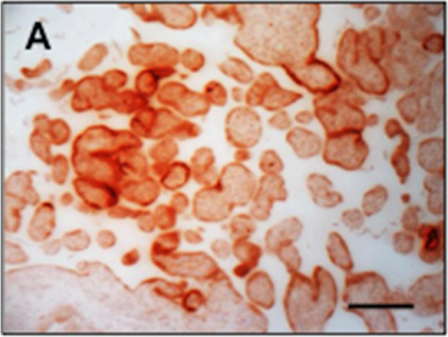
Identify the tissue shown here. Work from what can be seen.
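Many rounded and branching tissue profiles of varied size lie separated by empty space. So: chorionic villi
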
